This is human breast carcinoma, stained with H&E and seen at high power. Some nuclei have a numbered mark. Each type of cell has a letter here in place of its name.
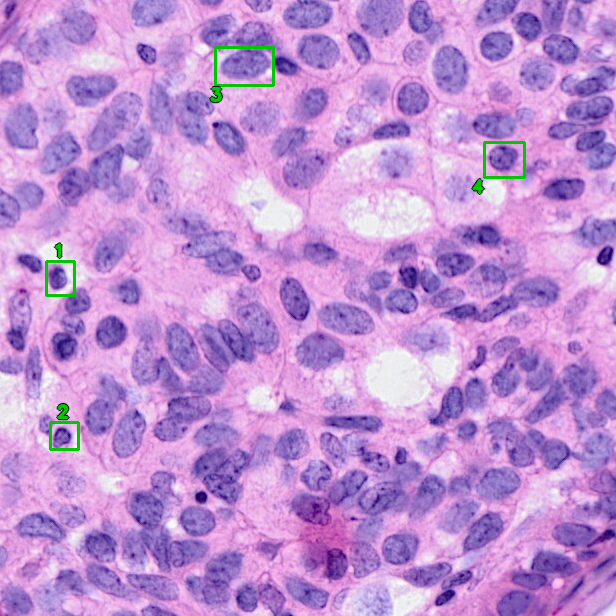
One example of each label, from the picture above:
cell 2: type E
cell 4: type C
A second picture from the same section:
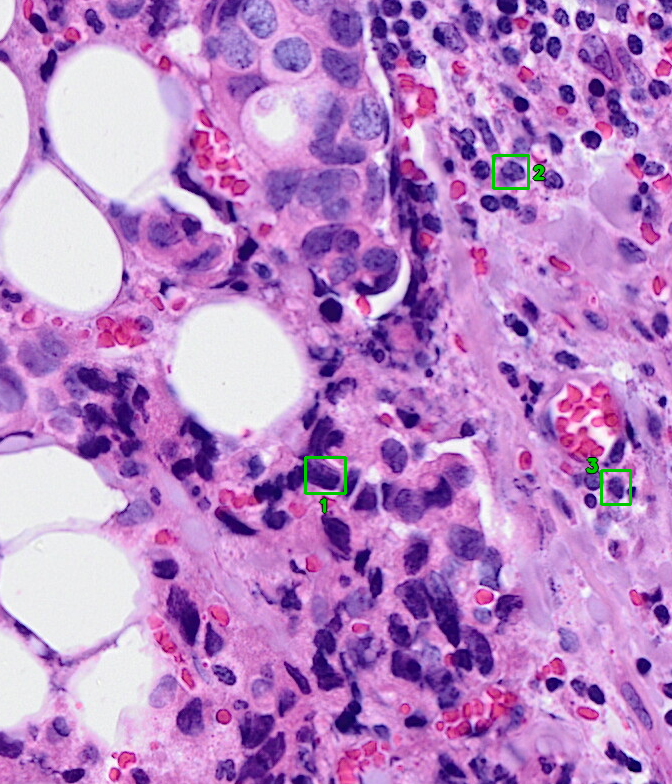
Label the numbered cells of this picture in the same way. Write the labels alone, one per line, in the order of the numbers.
type C
type E
type E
